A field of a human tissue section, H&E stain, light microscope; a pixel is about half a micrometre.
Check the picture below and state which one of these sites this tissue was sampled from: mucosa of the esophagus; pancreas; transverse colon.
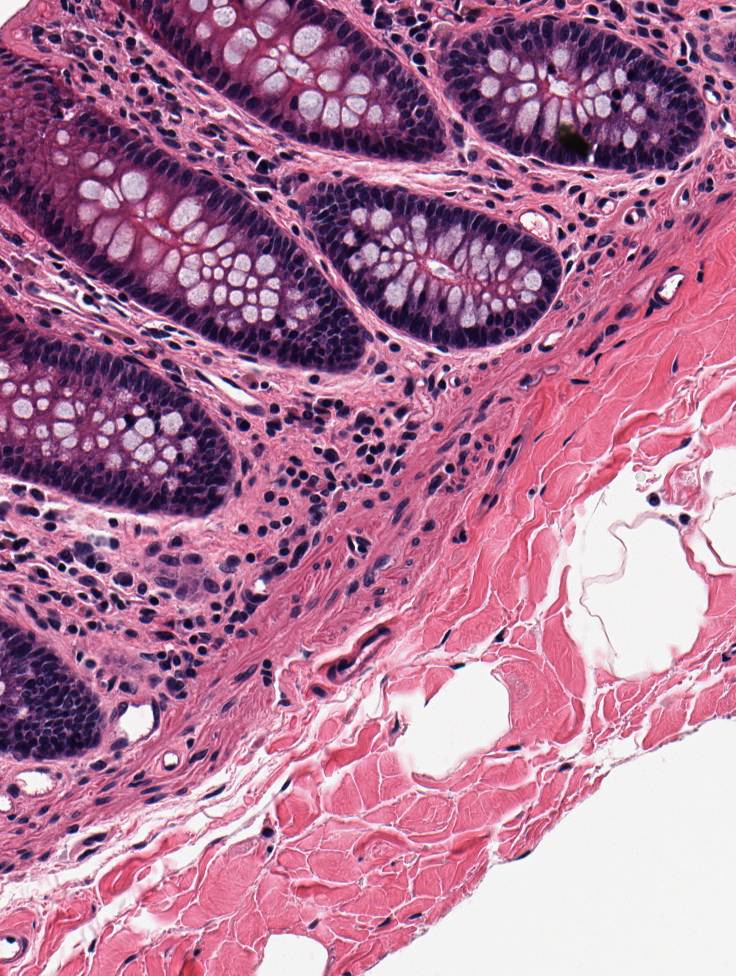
transverse colon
